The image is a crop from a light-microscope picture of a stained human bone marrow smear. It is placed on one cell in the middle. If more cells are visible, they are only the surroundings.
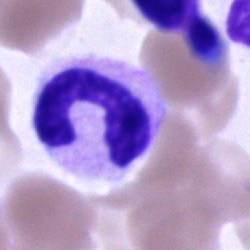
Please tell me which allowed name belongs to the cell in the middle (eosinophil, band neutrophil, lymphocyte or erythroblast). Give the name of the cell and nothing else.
band neutrophil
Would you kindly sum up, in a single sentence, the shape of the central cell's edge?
Edge check done: smooth outline, no projections present.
